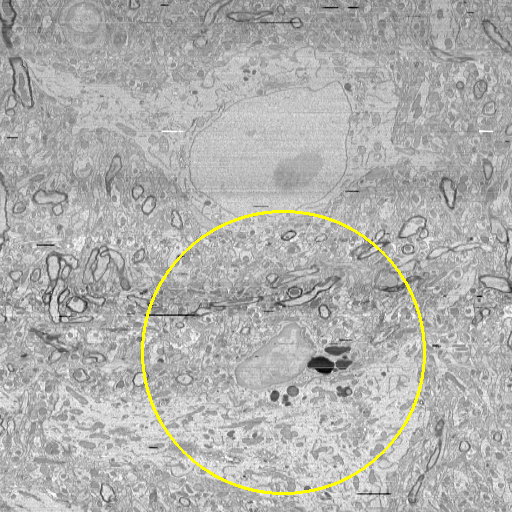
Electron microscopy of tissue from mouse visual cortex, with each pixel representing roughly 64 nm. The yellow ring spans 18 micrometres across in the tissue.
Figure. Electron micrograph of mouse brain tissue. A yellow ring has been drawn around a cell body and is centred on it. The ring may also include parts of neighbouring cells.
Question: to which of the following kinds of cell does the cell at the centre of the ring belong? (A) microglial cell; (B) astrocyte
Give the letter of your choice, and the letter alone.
A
